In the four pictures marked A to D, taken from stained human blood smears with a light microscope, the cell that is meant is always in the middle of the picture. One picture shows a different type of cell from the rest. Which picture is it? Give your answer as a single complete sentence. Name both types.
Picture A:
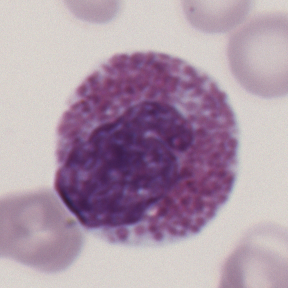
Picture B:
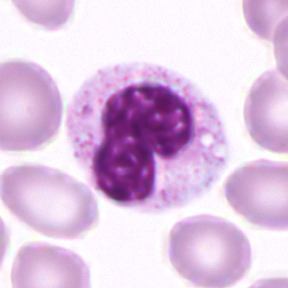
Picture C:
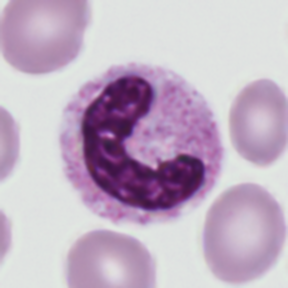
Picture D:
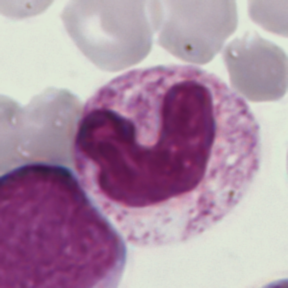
Picture A is the odd one out: it shows an eosinophil, while the others show band neutrophils.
